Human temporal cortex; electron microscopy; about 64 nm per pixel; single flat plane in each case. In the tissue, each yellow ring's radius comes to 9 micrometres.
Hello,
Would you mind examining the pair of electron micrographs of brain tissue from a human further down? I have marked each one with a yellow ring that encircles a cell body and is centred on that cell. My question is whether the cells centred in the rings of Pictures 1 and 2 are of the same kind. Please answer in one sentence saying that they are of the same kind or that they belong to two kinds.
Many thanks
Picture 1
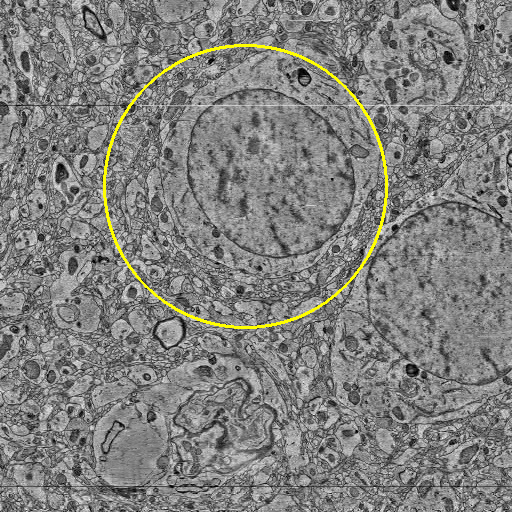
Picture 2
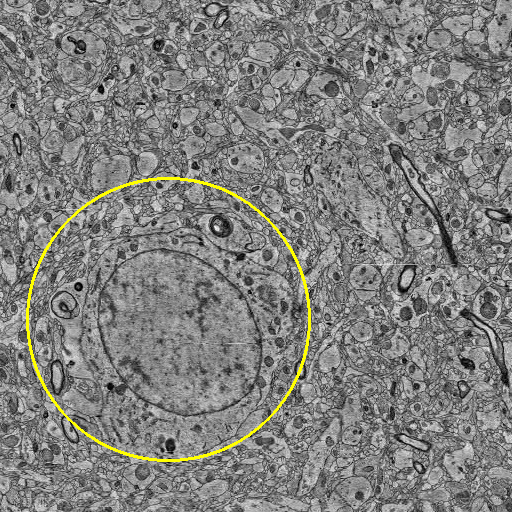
In Pictures 1 and 2, the cells at the heart of the rings are of the same kind.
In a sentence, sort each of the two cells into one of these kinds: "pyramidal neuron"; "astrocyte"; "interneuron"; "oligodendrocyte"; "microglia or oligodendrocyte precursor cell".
The cell at the ring centre is a pyramidal neuron in both pictures.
